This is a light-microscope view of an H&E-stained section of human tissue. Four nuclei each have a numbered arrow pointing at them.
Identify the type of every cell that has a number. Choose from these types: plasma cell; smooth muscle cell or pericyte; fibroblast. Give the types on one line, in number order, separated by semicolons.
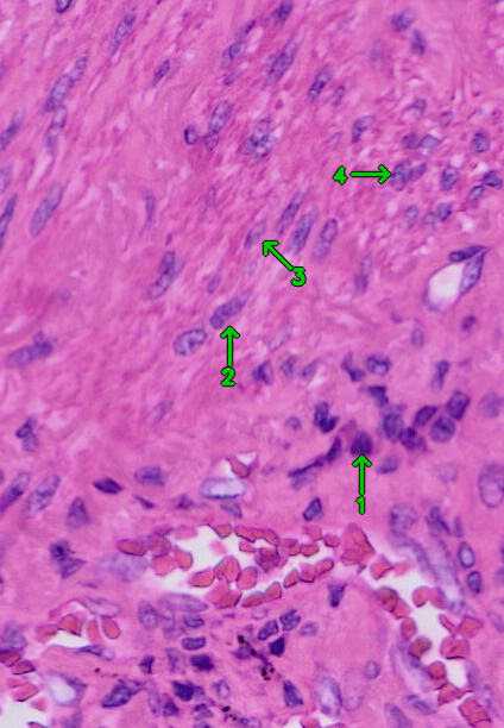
plasma cell; smooth muscle cell or pericyte; smooth muscle cell or pericyte; smooth muscle cell or pericyte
